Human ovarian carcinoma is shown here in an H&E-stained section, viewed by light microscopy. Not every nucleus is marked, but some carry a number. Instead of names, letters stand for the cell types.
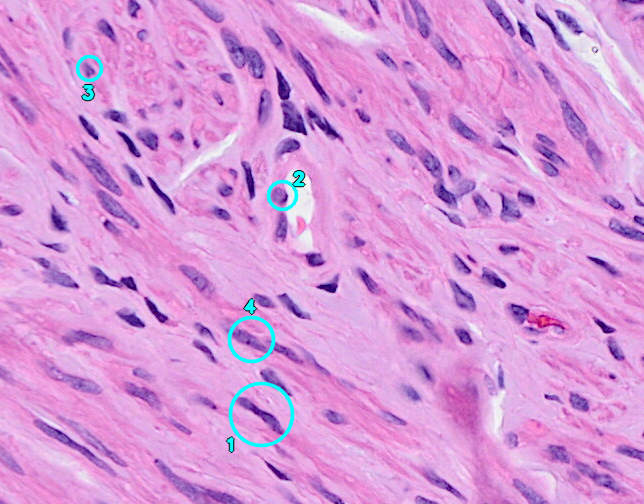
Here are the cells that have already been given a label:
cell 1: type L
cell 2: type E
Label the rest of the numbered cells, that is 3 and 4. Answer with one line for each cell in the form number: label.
3: type L
4: type L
